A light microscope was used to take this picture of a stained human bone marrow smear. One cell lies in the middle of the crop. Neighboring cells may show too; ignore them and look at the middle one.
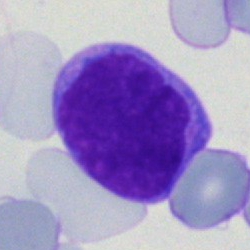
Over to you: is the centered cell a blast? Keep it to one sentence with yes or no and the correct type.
Yes, the crop is centred on a blast.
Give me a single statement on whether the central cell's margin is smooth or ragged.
Thanks for asking; the cell edge is smooth and has no projections.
